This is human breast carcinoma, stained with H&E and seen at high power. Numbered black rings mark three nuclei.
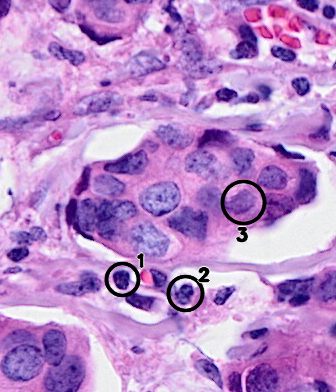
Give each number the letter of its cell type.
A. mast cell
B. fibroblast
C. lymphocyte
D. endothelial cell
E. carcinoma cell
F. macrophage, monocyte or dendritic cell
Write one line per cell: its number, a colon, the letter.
1: C
2: C
3: E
